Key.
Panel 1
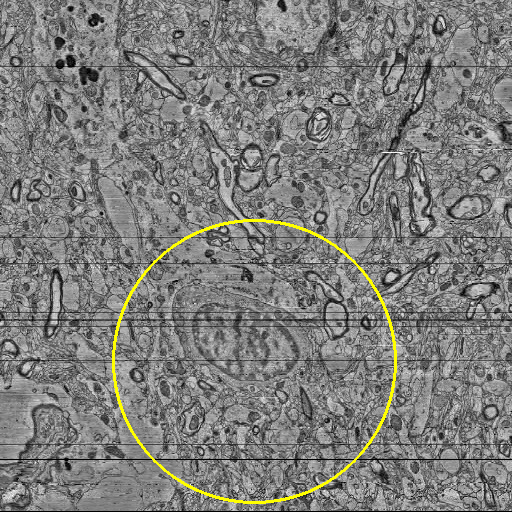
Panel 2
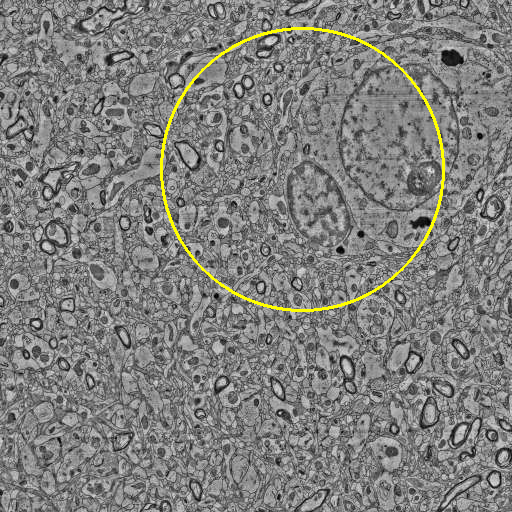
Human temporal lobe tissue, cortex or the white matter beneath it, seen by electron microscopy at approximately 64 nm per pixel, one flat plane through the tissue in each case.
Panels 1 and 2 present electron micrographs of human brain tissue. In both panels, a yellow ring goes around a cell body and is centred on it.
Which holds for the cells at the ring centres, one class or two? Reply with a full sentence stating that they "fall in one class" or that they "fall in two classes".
Taken together, the ring-centre cells of the two panels fall in one class.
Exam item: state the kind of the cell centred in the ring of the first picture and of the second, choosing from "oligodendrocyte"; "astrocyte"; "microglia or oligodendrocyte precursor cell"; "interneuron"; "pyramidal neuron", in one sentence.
Both rings mark an oligodendrocyte, one in each picture.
